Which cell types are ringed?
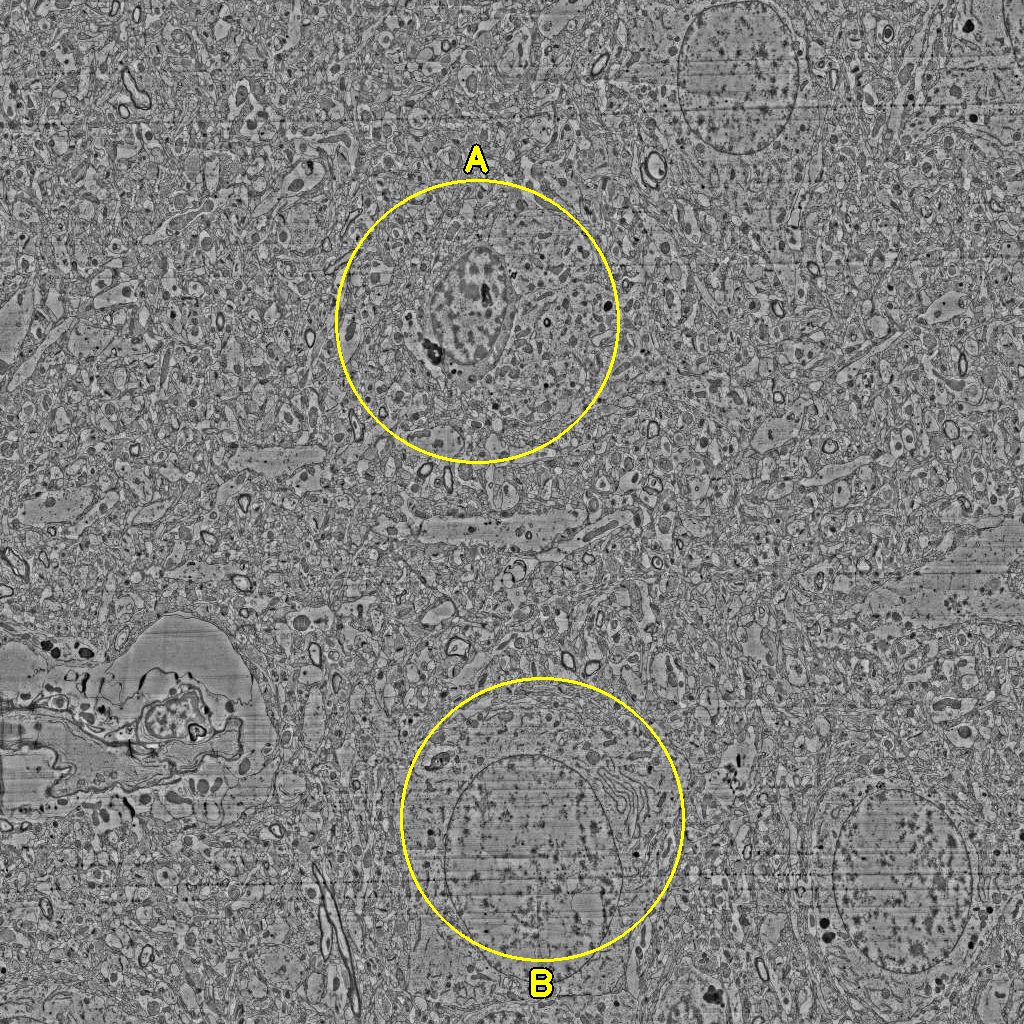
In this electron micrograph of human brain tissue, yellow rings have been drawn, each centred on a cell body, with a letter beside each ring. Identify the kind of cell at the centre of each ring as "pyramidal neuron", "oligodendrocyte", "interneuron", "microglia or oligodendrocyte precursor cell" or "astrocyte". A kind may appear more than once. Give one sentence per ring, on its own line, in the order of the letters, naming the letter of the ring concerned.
Ring A is drawn on an oligodendrocyte.
Ring B is drawn on a pyramidal neuron.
